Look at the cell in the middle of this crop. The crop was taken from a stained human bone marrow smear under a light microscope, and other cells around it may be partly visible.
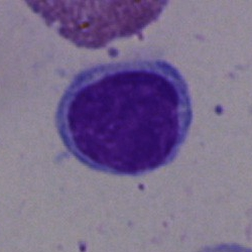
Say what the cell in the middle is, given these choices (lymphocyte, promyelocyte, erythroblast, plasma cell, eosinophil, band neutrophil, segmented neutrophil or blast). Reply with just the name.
lymphocyte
